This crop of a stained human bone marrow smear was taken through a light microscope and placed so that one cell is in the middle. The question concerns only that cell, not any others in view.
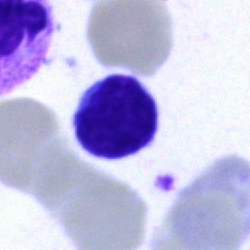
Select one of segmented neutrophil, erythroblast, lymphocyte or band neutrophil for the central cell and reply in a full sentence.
The centrally positioned cell in the crop represents a lymphocyte.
